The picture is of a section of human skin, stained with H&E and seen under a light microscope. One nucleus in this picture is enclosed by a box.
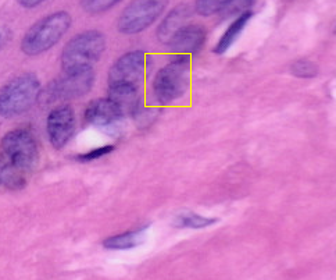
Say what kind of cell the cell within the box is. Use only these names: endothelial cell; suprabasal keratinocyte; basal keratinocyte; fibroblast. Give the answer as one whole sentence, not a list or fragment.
The classification of the cell within the box is as a basal keratinocyte.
